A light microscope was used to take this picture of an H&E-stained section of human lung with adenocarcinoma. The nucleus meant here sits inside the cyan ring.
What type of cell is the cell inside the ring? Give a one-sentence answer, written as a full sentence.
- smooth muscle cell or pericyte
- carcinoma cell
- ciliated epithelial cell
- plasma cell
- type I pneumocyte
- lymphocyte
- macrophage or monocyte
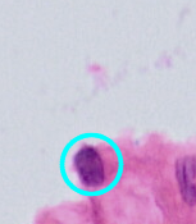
Within the stained tissue, the cell inside the ring is a type I pneumocyte.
